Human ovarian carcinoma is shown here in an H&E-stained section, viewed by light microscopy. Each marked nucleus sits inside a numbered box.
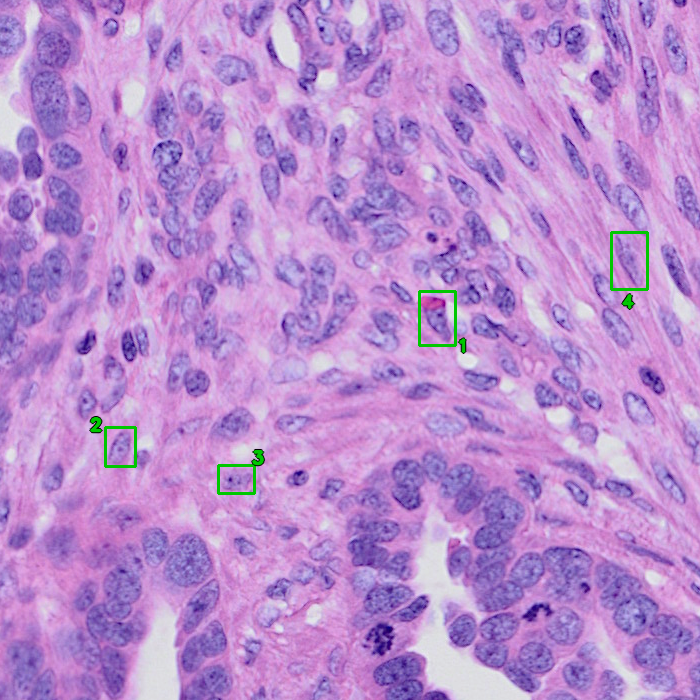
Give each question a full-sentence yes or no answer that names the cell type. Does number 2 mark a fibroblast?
Yes, the cell corresponding to number 2 is a fibroblast.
